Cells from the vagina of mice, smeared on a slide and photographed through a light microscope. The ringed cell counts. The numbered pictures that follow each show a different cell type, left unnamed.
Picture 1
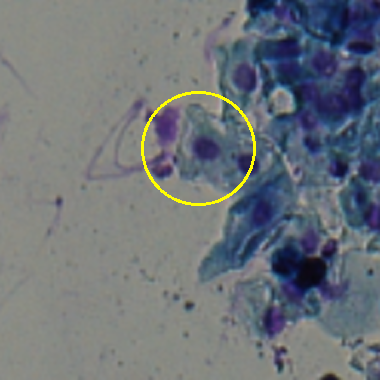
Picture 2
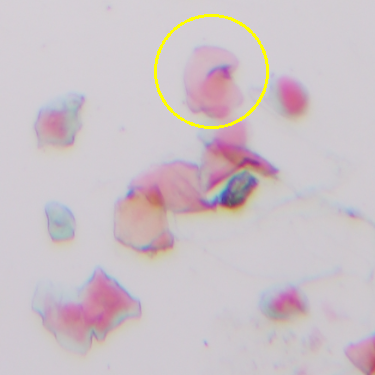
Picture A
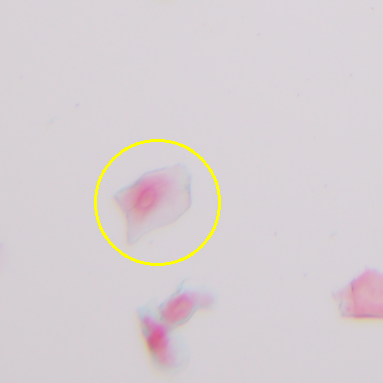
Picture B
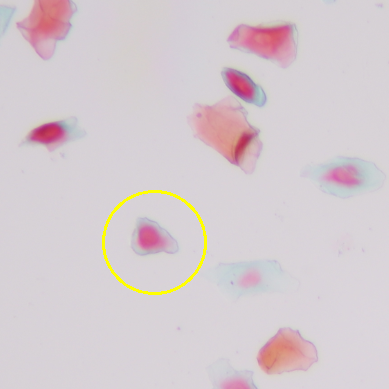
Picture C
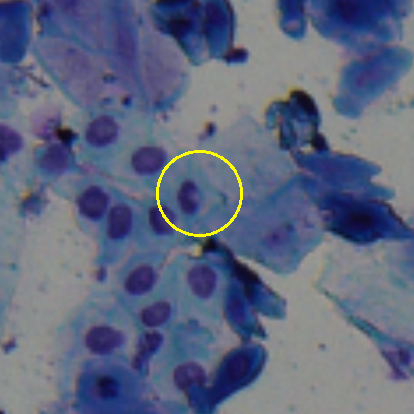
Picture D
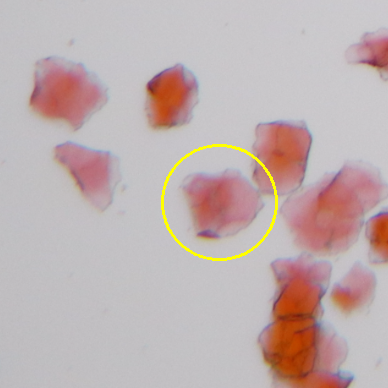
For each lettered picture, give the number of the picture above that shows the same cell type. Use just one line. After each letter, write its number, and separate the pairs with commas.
A 1, B 1, C 1, D 2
